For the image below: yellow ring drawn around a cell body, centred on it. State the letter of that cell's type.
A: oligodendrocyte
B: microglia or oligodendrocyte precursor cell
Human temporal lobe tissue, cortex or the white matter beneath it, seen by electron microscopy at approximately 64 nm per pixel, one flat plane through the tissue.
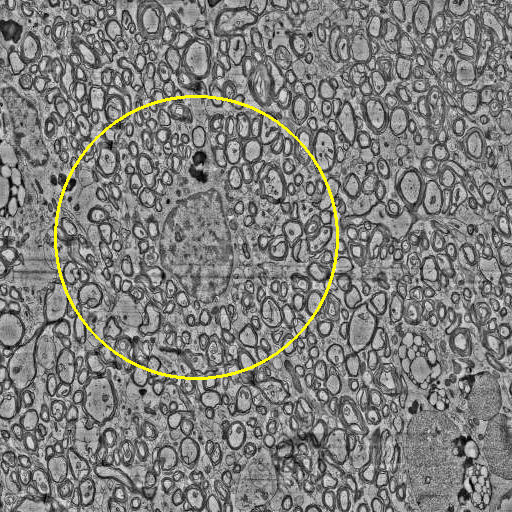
A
